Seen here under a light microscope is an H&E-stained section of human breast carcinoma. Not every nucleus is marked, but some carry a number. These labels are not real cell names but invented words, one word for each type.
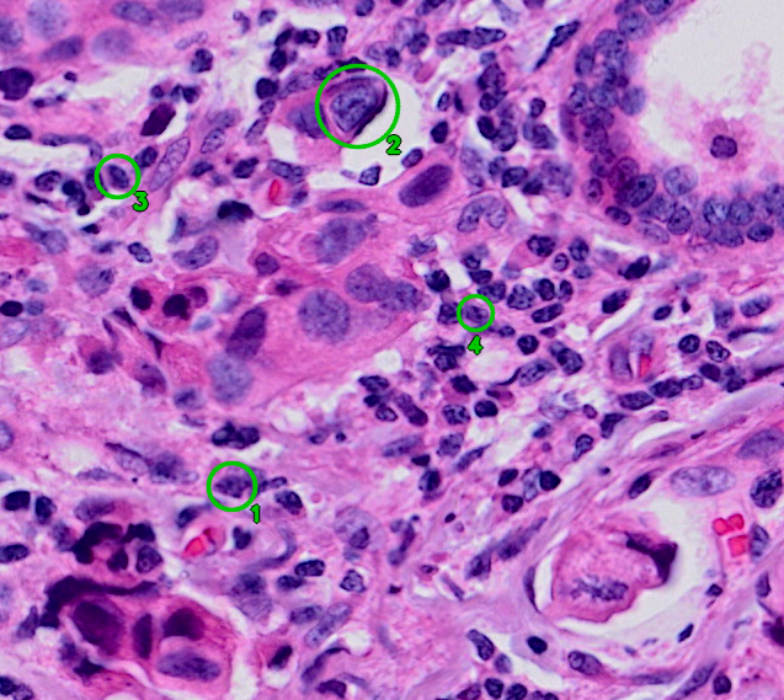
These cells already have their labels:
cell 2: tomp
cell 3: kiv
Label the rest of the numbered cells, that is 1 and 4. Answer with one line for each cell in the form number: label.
1: kiv
4: kiv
